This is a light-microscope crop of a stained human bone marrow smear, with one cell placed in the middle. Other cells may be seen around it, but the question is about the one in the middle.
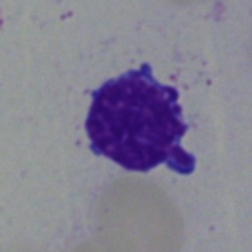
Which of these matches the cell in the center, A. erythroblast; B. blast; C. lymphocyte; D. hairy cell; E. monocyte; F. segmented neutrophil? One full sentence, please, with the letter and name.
The cell centred in the crop is a lymphocyte, and the correct option is thus C.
